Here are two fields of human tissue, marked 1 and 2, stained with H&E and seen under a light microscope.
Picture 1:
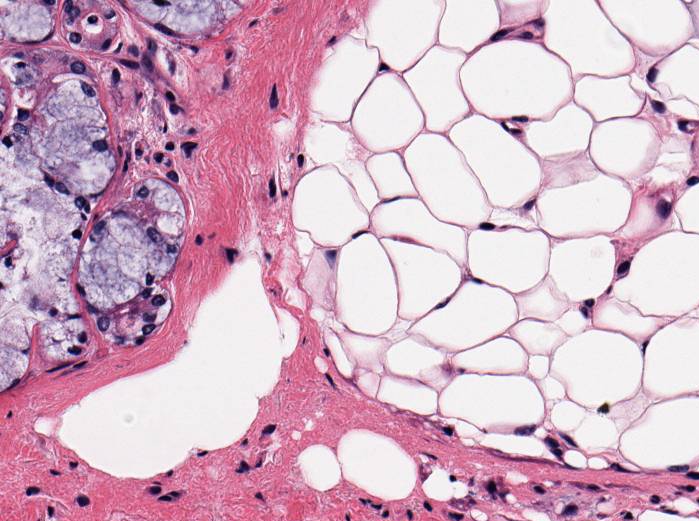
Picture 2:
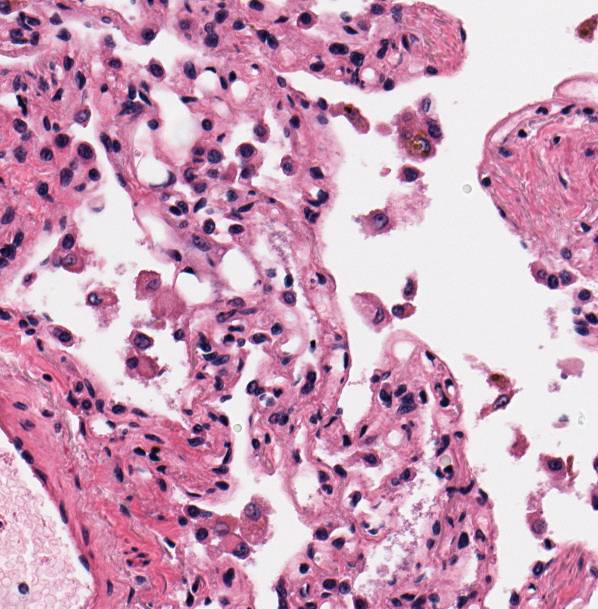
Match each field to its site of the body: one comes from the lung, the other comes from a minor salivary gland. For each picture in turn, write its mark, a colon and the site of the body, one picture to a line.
1: minor salivary gland
2: lung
